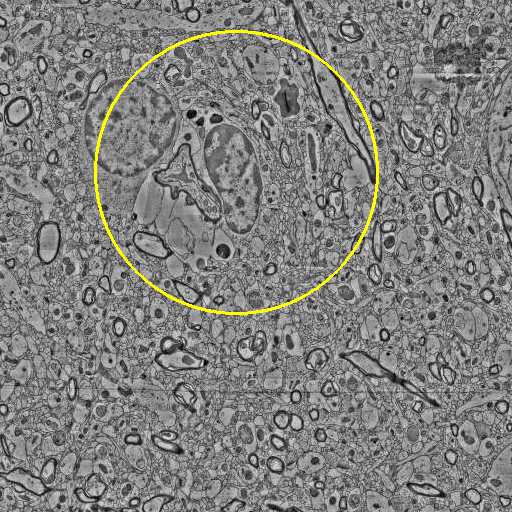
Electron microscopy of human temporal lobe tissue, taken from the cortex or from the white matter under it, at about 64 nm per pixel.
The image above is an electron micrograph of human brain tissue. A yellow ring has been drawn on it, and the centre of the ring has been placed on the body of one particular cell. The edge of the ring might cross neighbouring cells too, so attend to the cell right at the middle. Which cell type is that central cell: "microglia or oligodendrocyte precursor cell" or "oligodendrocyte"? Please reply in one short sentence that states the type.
The central cell in the ring is a microglial cell or oligodendrocyte precursor cell.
